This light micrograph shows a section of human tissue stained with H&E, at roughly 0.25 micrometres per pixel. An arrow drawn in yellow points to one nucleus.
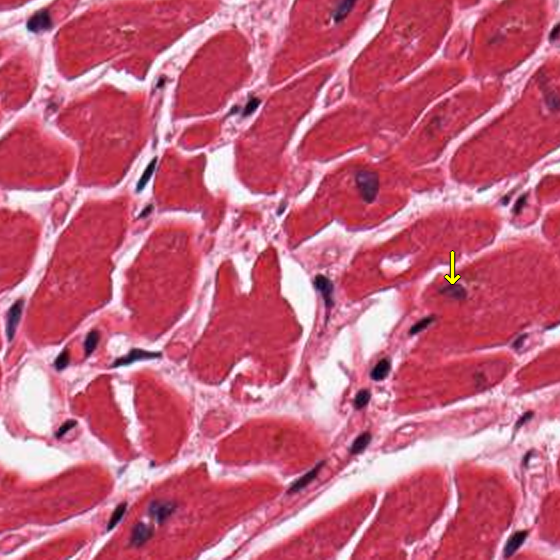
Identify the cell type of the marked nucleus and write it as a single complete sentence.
The marked nucleus forms part of a cardiomyocyte.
